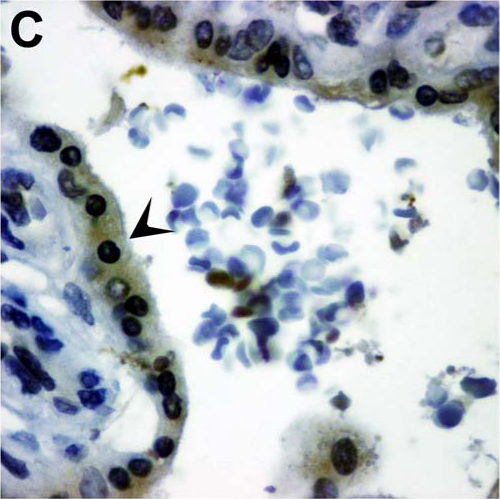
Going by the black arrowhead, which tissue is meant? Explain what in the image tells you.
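Syncytiotrophoblast. The arrowhead points at a surface layer with a single row of round dark nuclei and no cell borders. The layer's cytoplasm is brownish and faces an open space with red cells.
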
